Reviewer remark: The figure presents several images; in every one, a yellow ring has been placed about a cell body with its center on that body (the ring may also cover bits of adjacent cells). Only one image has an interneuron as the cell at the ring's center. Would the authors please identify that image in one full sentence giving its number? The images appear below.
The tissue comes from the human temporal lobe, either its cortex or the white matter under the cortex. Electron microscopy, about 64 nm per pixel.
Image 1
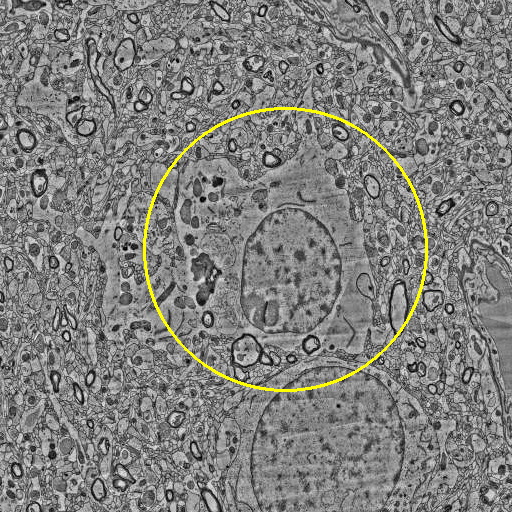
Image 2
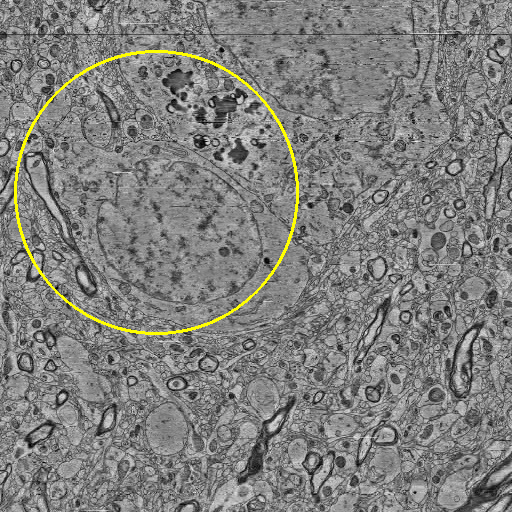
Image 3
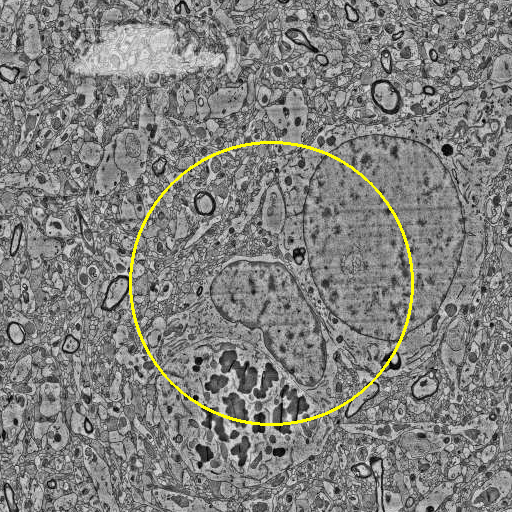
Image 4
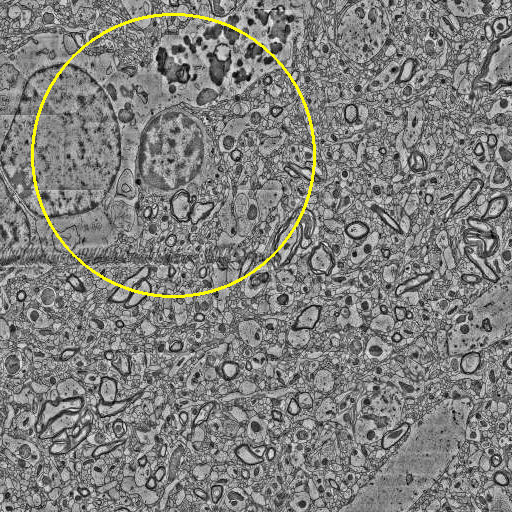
The ring's central cell in image 2 is the one the question describes.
